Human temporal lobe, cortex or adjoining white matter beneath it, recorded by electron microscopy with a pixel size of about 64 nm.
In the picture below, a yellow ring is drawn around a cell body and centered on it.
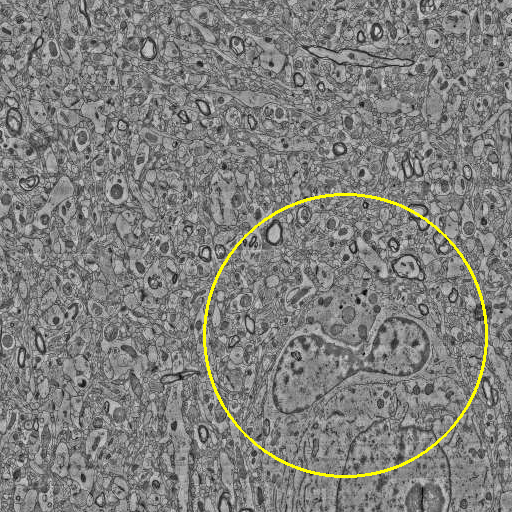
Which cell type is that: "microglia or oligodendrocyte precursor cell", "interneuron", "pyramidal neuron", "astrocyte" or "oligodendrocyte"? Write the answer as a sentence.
The cell centered in the ring is a microglial cell or oligodendrocyte precursor cell.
